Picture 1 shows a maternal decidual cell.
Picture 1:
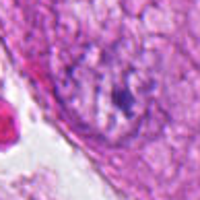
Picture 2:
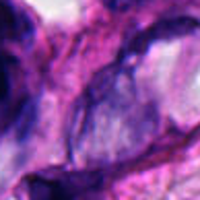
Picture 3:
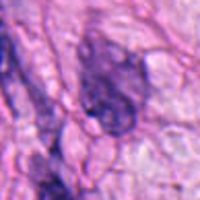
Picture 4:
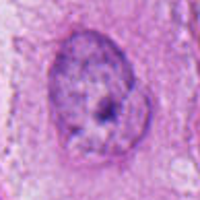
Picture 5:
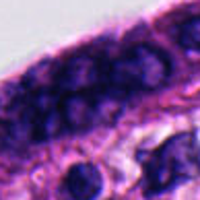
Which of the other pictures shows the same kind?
Picture 4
